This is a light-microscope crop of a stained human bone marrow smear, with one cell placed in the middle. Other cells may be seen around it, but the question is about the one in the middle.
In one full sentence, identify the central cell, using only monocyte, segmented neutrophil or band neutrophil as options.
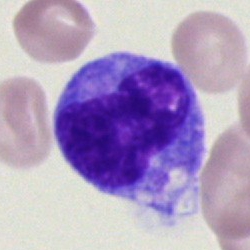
What the crop centres on is a monocyte.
